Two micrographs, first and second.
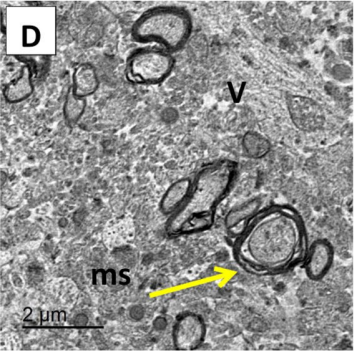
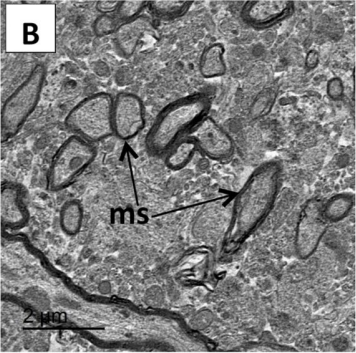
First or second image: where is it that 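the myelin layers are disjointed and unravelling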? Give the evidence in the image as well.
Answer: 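Second image: dark myelin rings are compact around the axons. First image: one sheath shows loosened, separated concentric dark lamellae.
Hence: the first image.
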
